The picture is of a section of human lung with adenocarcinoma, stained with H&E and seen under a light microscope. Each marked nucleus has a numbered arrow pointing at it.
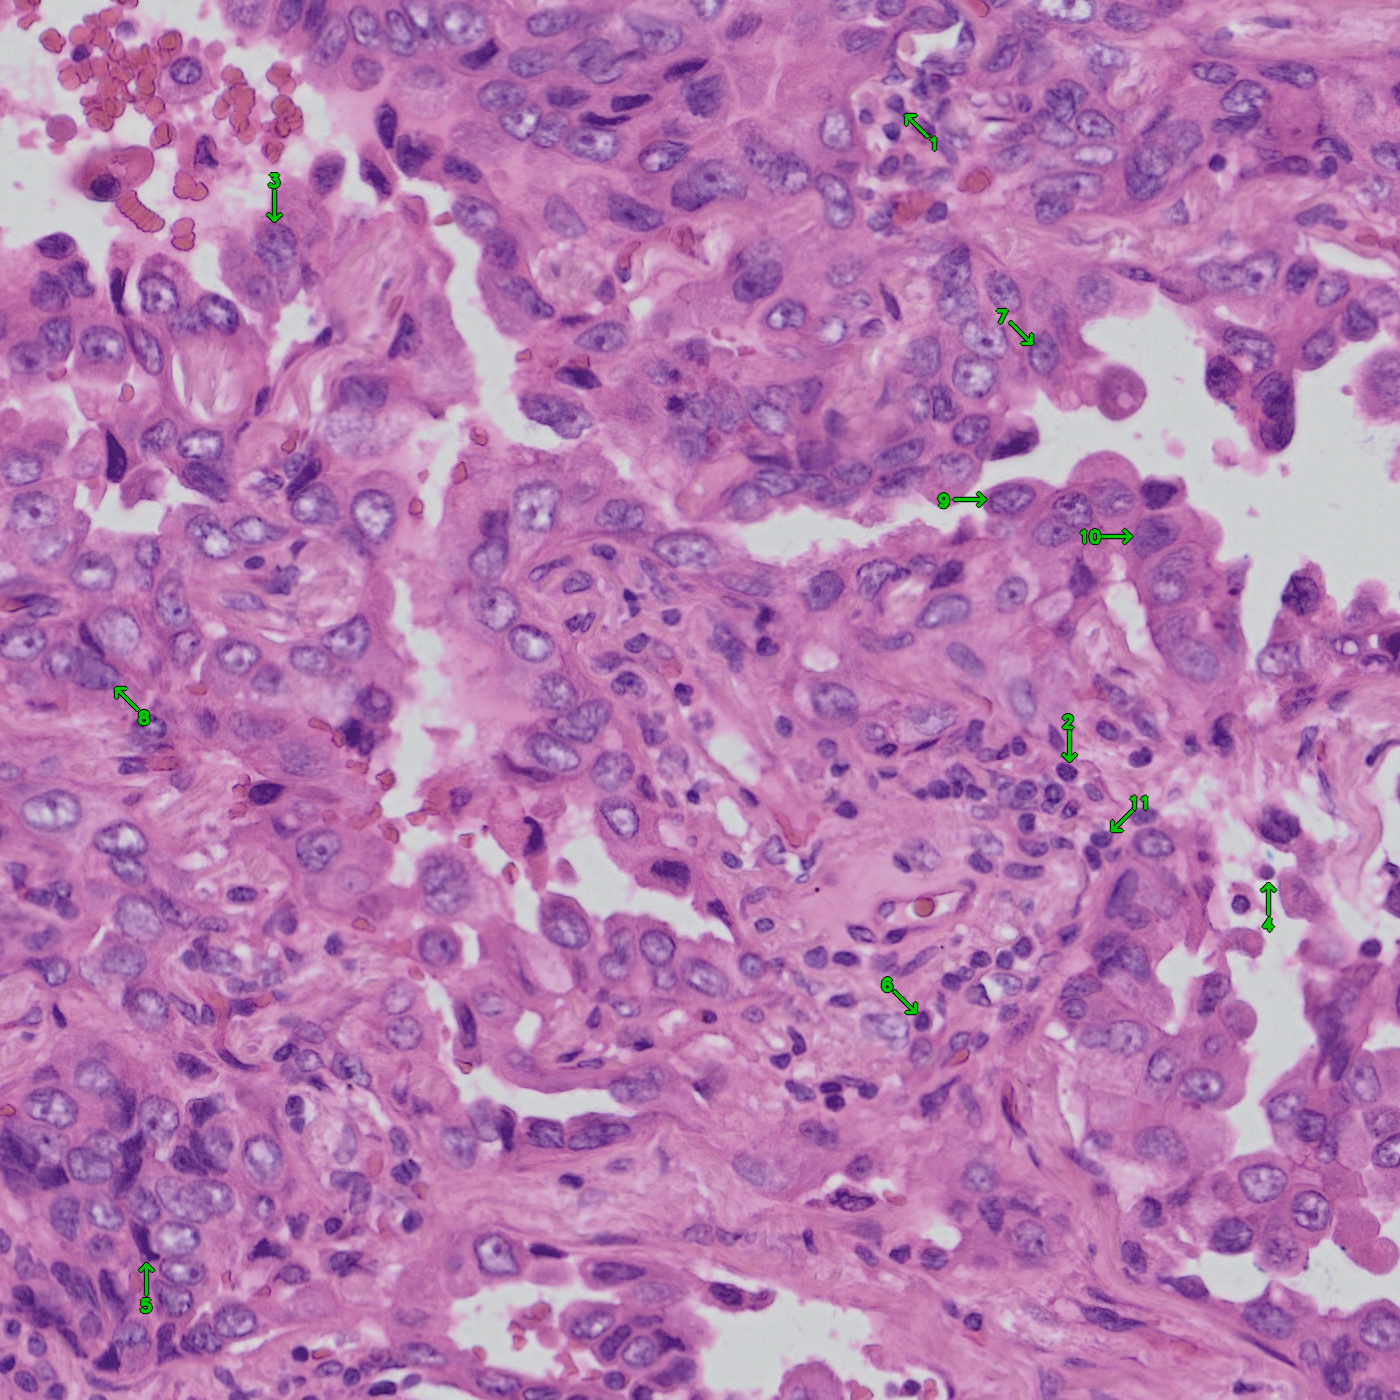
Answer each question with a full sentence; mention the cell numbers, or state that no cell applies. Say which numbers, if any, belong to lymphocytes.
Cells 1, 2, 4, 6 and 11 are lymphocytes by cell type.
